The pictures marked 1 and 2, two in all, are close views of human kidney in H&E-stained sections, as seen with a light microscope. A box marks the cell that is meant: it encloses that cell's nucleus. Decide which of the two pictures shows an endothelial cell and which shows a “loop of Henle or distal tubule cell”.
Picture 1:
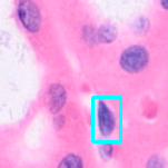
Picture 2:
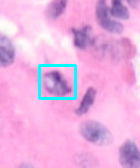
1: endothelial cell
2: loop of Henle or distal tubule cell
